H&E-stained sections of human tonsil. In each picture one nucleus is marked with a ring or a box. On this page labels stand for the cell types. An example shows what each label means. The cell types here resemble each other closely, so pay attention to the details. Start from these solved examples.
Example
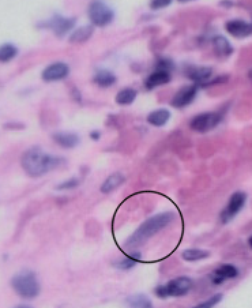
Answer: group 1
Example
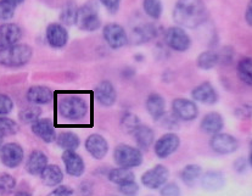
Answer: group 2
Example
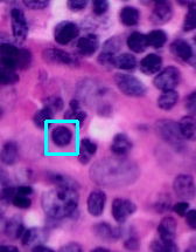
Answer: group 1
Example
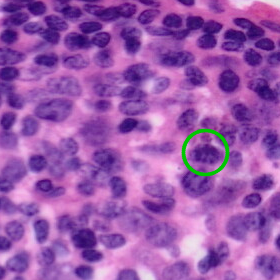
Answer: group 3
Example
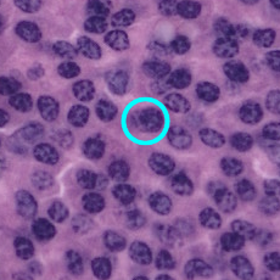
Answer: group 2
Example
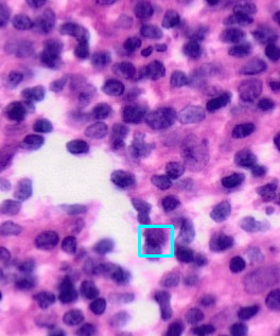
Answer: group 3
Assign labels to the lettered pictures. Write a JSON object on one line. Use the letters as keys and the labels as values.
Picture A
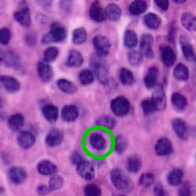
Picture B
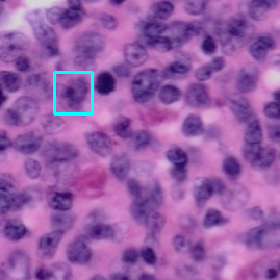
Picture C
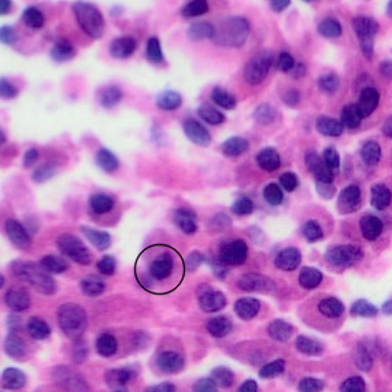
{"A": "group 2", "B": "group 3", "C": "group 2"}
